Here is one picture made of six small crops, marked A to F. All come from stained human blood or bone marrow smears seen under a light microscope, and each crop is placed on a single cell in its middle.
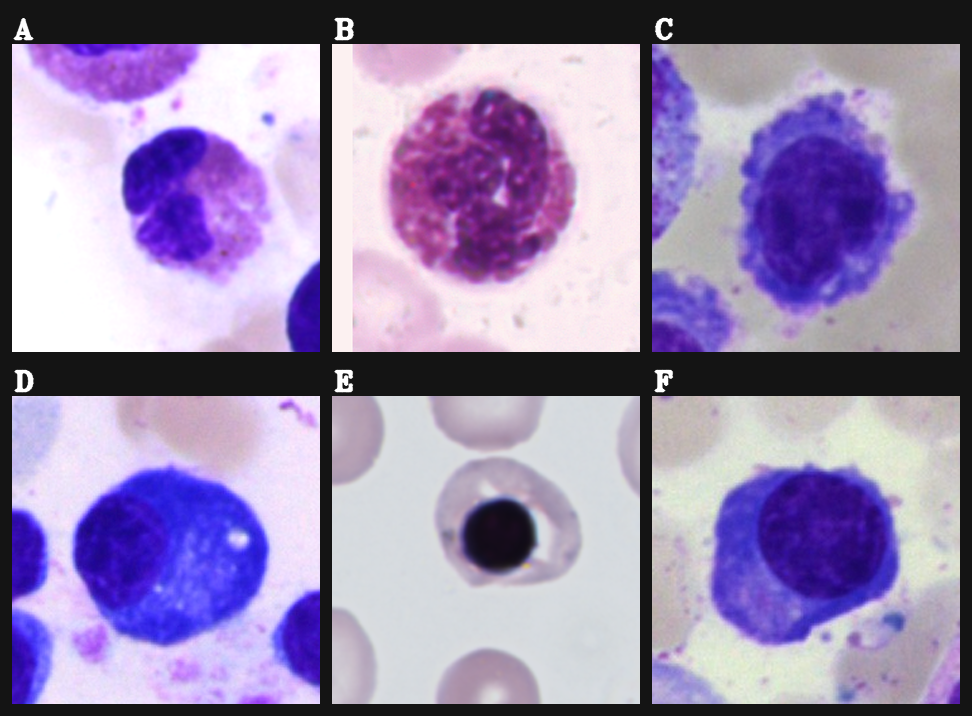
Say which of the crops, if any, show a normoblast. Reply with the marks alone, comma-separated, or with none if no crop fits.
E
